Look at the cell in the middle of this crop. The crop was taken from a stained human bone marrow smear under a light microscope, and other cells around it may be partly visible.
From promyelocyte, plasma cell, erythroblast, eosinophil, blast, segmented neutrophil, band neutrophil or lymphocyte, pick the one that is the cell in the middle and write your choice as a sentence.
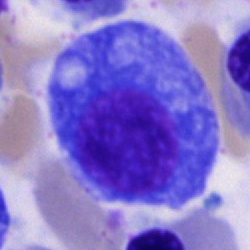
The cell that lies at the centre of the crop is a plasma cell.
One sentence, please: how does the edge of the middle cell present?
Its surface contour is regular and smooth, without any protrusions.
